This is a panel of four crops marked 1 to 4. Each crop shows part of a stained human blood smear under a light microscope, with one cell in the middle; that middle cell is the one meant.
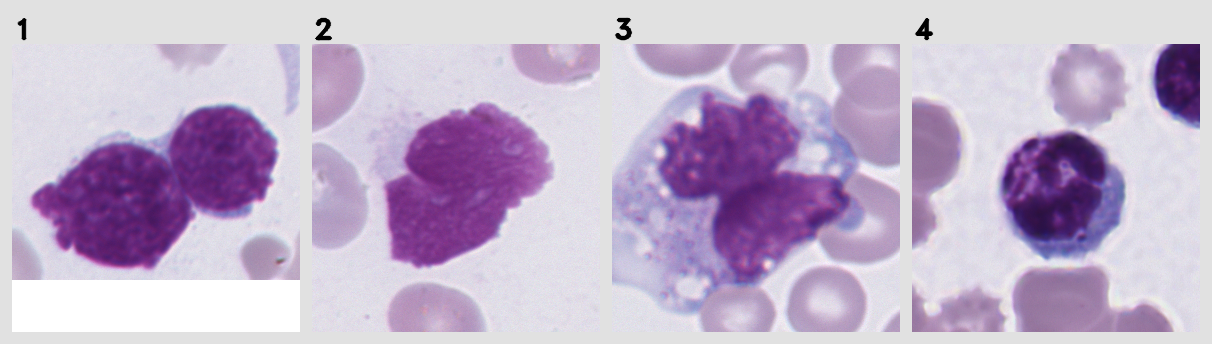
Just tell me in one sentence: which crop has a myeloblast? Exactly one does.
As for which crop shows a myeloblast, it is crop 1.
